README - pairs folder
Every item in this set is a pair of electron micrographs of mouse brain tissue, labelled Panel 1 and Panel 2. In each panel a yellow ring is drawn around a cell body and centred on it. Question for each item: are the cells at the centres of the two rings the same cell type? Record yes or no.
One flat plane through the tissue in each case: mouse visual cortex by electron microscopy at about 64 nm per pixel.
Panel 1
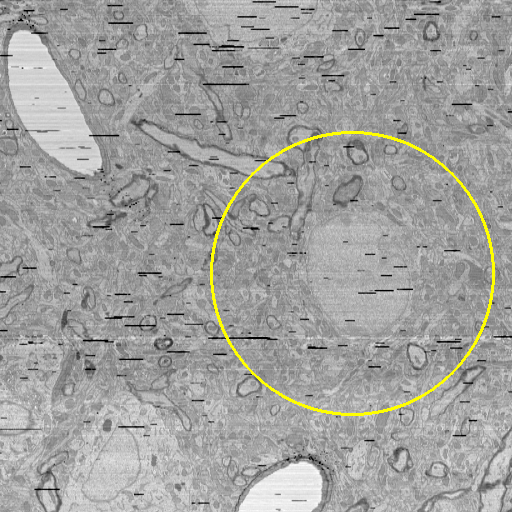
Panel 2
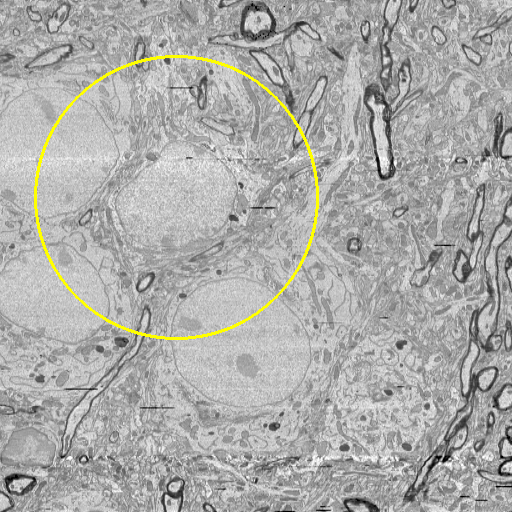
yes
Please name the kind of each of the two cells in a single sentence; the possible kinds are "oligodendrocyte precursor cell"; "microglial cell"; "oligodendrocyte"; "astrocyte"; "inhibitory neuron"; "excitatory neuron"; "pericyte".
Both pictures show an astrocyte at the centre of the ring.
